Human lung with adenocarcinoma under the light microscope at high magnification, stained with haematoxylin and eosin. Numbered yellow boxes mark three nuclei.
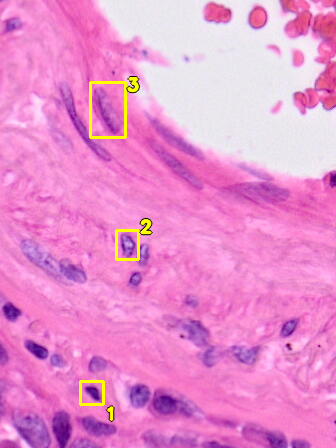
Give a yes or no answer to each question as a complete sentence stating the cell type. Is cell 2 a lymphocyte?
No, for cell 2, the correct identification is a smooth muscle cell or pericyte instead of a lymphocyte.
